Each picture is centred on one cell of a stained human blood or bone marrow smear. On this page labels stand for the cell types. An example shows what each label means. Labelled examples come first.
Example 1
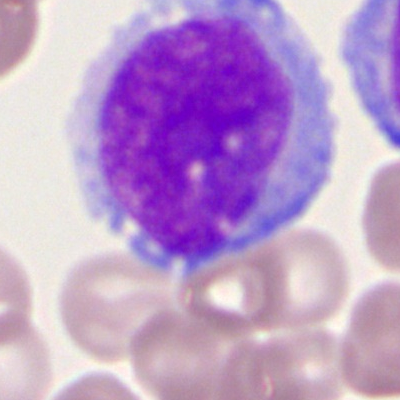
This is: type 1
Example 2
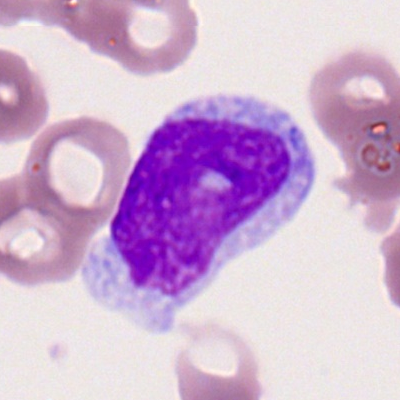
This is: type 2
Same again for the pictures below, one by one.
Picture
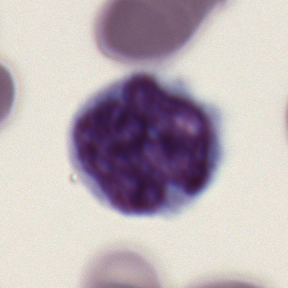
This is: type 1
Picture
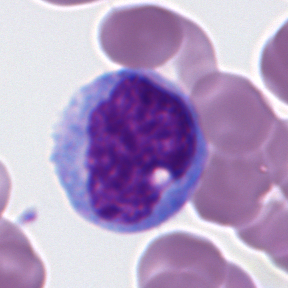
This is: type 1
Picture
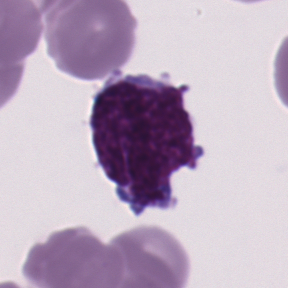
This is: type 2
